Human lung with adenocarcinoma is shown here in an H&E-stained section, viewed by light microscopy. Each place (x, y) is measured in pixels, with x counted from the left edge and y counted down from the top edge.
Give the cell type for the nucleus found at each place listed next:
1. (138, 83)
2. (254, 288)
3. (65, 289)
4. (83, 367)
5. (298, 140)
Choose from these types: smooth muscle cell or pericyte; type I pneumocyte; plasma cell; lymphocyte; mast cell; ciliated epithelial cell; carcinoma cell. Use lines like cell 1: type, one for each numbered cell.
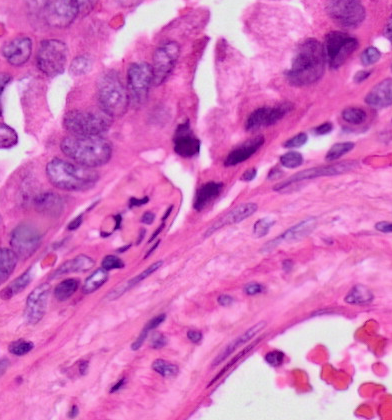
cell 1: carcinoma cell
cell 2: smooth muscle cell or pericyte
cell 3: plasma cell
cell 4: plasma cell
cell 5: lymphocyte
